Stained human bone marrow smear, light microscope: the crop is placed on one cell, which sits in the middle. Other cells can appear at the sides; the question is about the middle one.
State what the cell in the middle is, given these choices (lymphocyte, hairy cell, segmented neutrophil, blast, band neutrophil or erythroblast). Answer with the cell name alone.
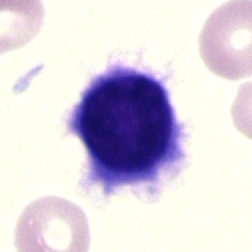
hairy cell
